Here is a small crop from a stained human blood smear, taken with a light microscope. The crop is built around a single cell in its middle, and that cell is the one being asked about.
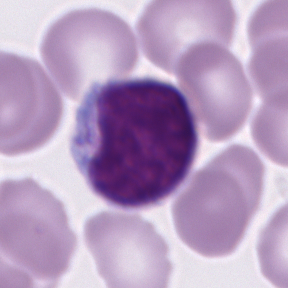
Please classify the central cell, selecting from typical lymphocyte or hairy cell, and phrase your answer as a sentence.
The cell centred in this crop is categorized as a typical lymphocyte.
